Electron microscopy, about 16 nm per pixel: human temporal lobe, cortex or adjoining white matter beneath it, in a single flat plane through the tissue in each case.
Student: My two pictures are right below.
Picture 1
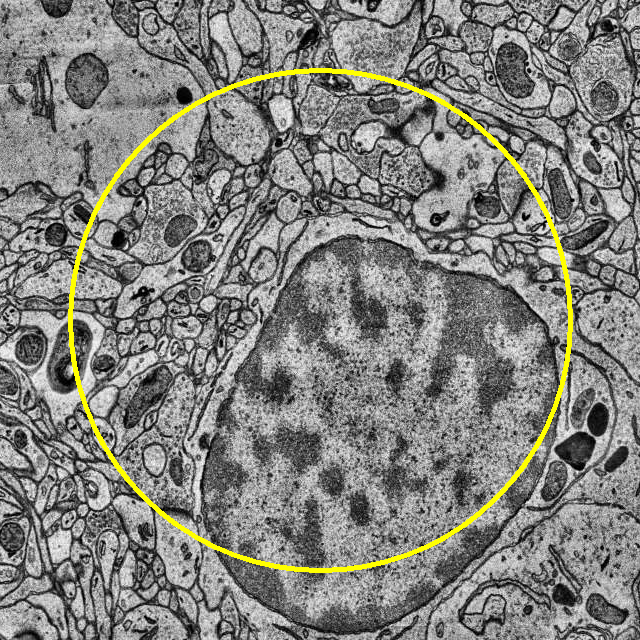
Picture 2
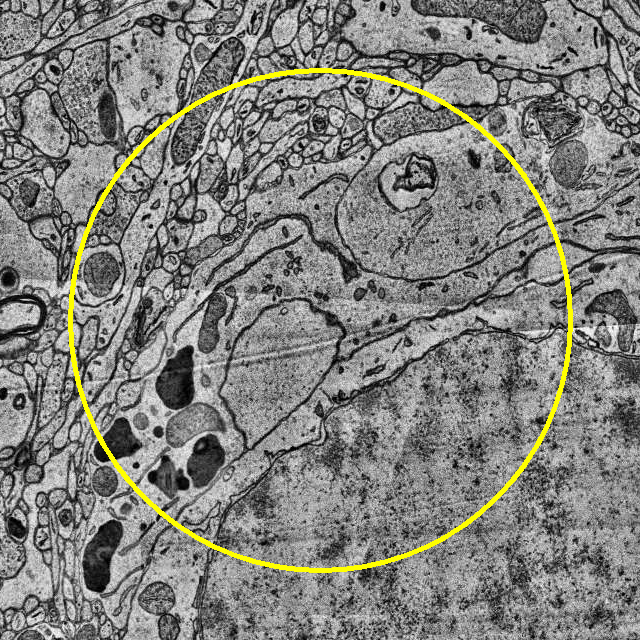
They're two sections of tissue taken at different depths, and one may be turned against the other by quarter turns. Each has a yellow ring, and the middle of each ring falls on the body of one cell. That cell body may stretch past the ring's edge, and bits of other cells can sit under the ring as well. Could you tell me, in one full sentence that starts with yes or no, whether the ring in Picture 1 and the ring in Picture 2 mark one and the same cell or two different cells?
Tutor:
Yes, the cell inside the first ring is the cell inside the second.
